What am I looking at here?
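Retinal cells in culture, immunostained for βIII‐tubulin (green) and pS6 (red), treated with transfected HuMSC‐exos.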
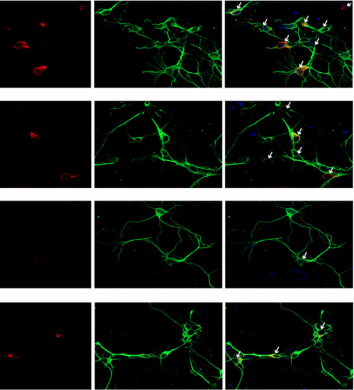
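Small blue nuclei are scattered among them. Some of the cell bodies also carry red, and where red and green overlap they look orange-yellow. Arrows point to these neurons in every row. The rows differ in how many red cell bodies they show, and one row has hardly any red at all.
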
